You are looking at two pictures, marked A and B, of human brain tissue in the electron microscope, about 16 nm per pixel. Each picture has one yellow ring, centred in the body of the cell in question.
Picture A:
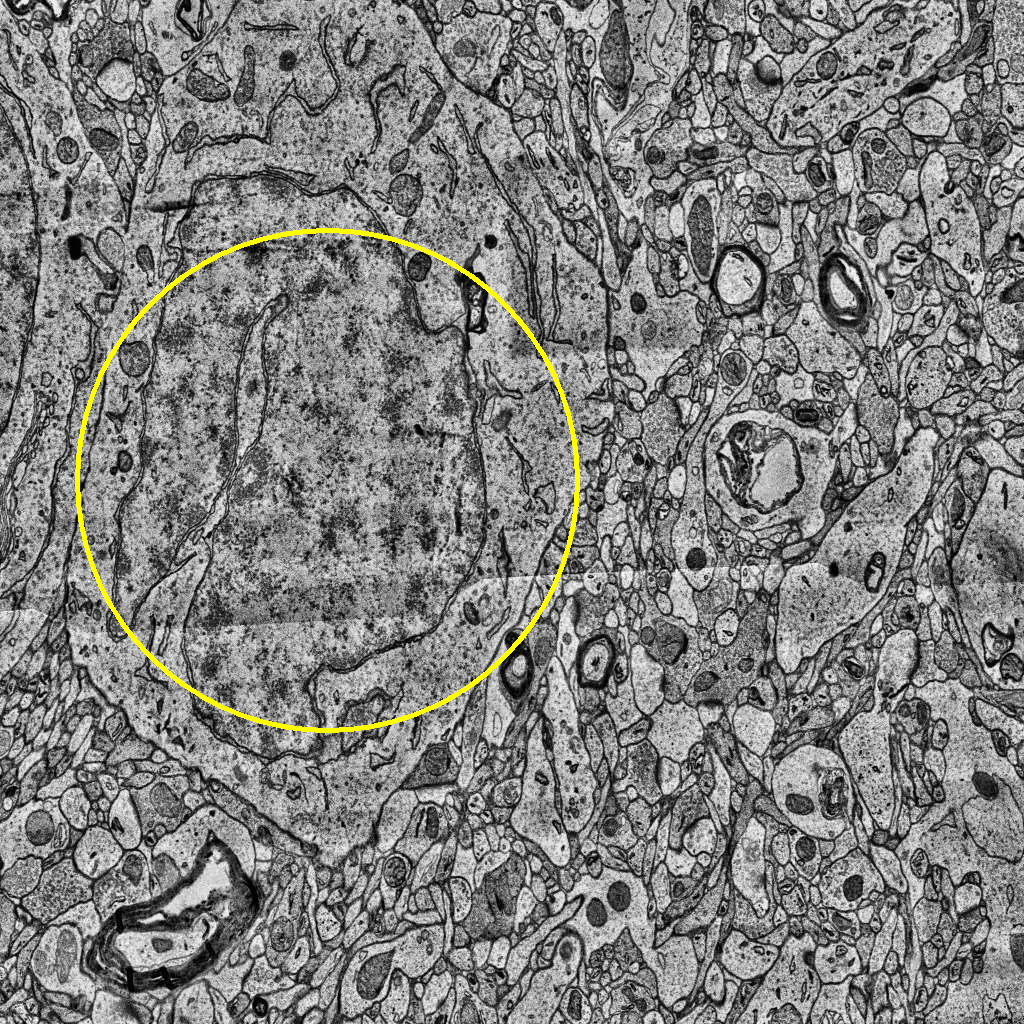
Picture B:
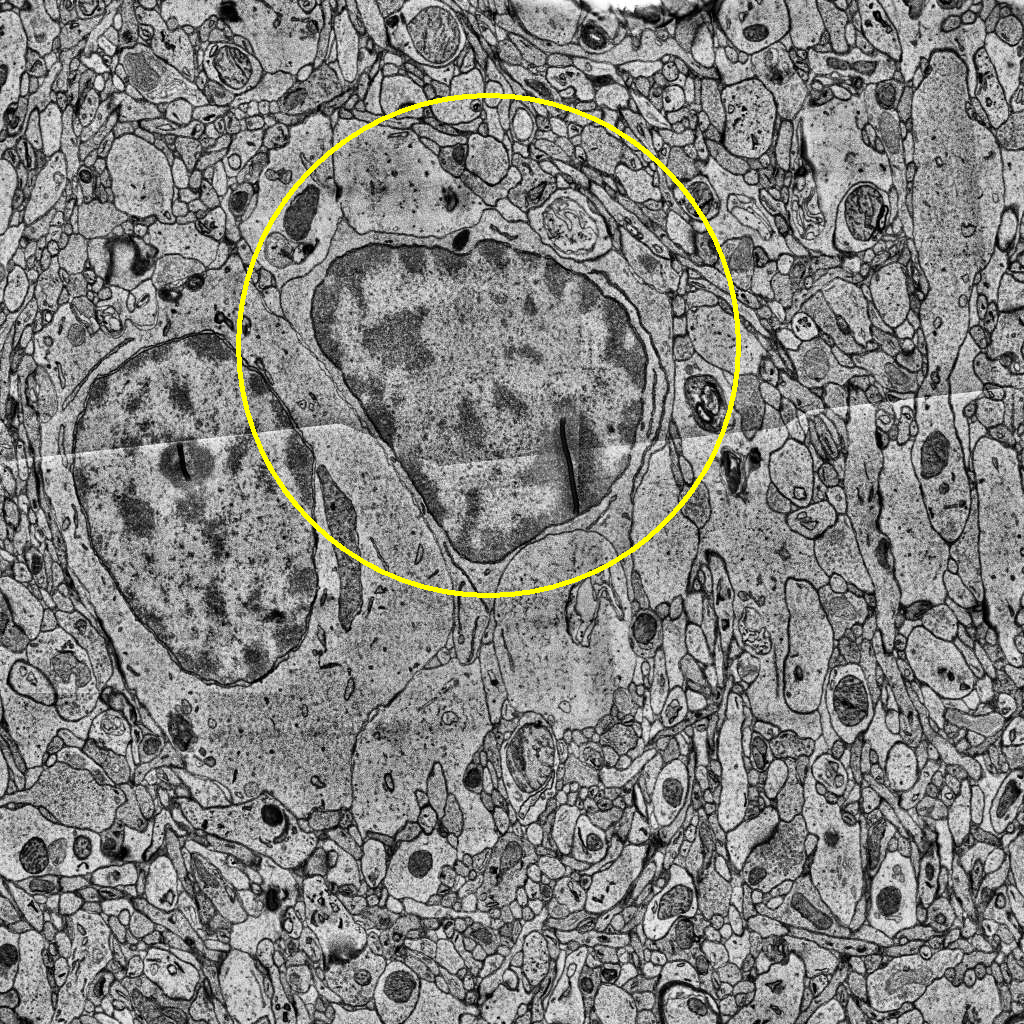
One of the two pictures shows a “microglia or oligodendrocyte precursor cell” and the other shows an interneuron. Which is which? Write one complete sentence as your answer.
In picture A the cell is an interneuron; in picture B, a “microglia or oligodendrocyte precursor cell”.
